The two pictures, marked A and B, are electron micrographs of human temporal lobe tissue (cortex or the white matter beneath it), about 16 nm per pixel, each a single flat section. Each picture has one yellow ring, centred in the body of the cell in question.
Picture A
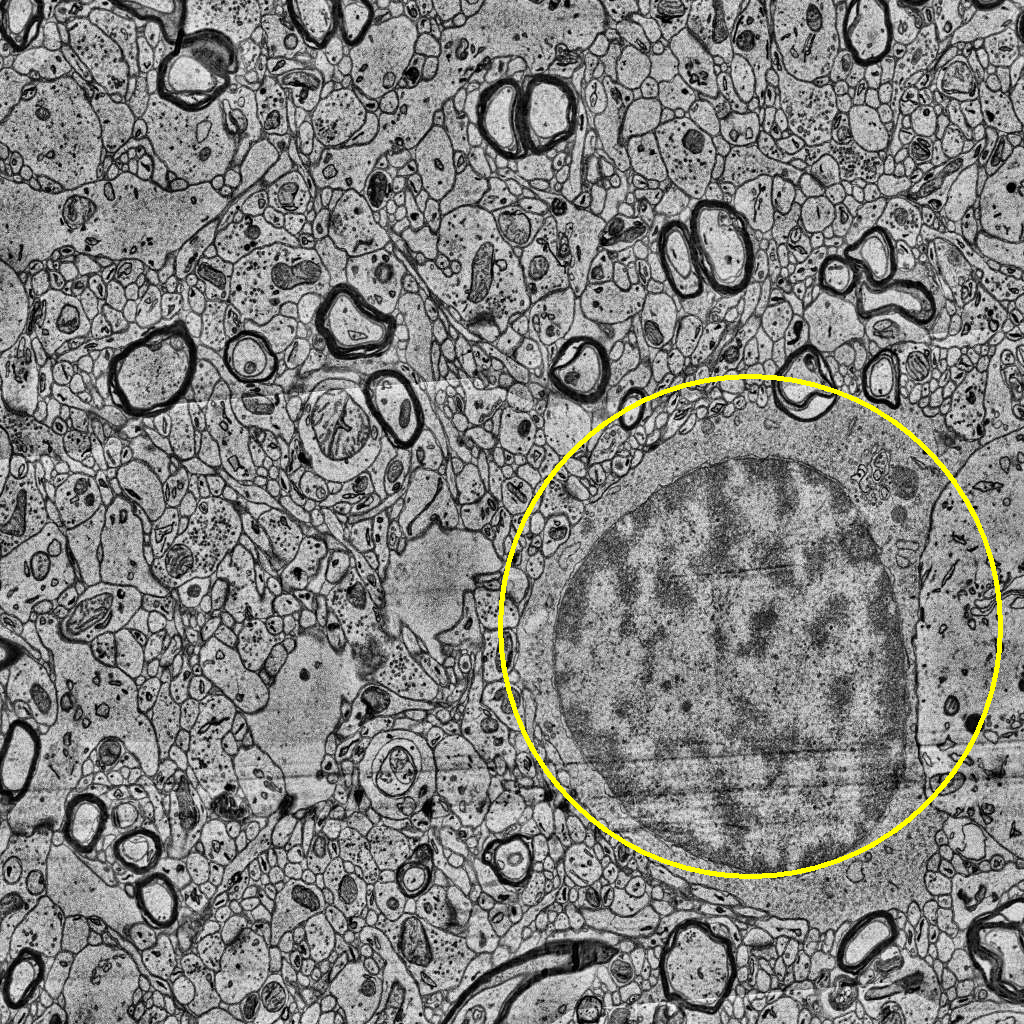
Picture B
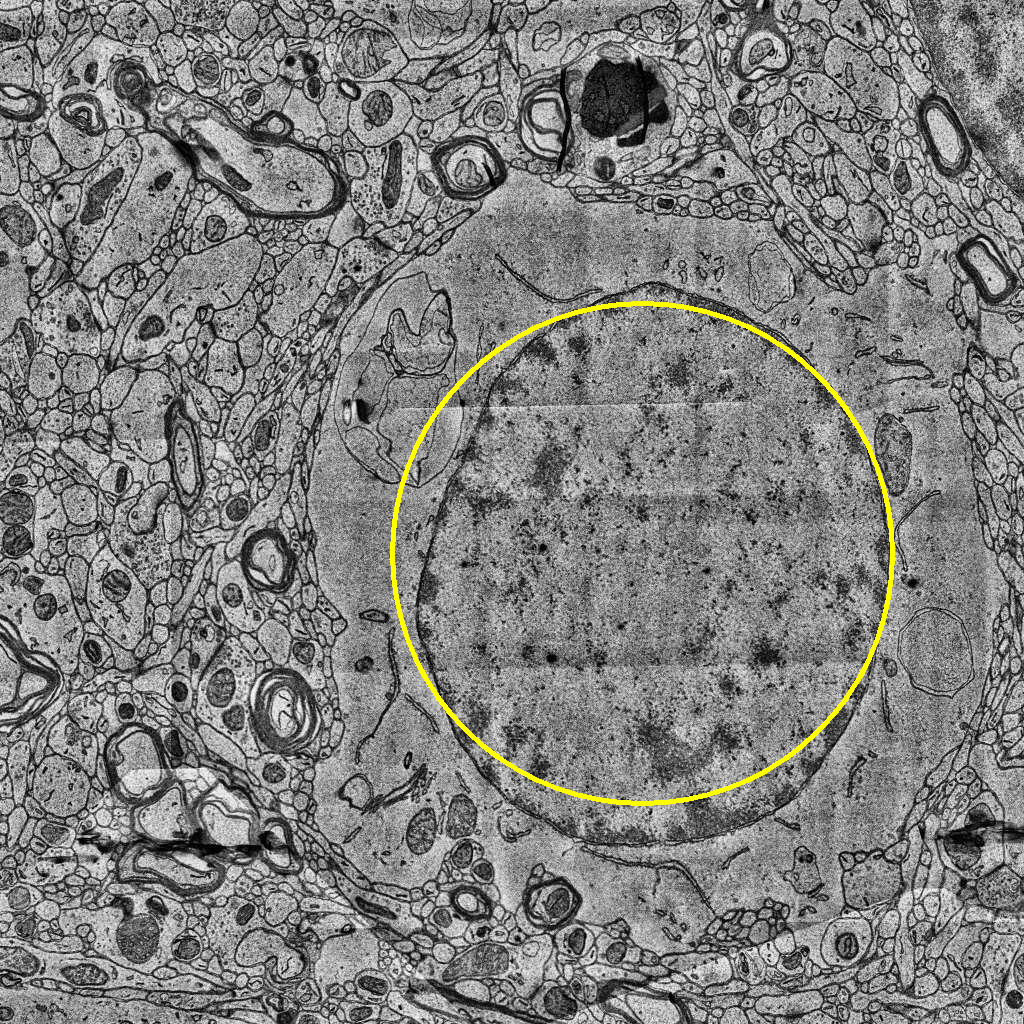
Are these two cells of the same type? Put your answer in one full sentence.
No; the cell in picture A is an oligodendrocyte, while the one in picture B is an astrocyte.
